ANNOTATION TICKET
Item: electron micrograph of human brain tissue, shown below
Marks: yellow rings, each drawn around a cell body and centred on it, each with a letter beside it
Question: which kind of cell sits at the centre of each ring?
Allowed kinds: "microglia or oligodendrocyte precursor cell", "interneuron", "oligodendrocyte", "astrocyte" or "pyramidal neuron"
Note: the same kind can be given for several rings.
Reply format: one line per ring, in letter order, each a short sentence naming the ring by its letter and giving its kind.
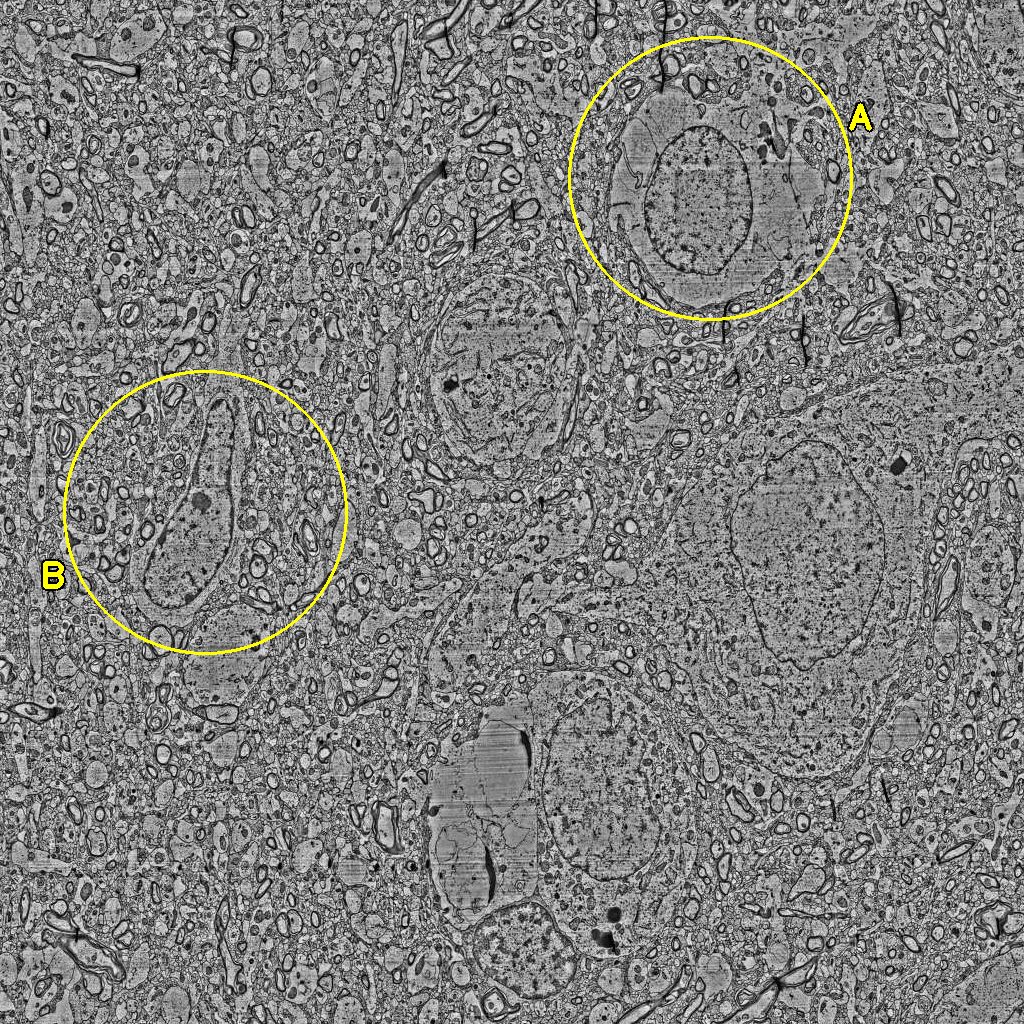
The cell at the centre of ring A is an astrocyte.
The cell at the centre of ring B is a microglial cell or oligodendrocyte precursor cell.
